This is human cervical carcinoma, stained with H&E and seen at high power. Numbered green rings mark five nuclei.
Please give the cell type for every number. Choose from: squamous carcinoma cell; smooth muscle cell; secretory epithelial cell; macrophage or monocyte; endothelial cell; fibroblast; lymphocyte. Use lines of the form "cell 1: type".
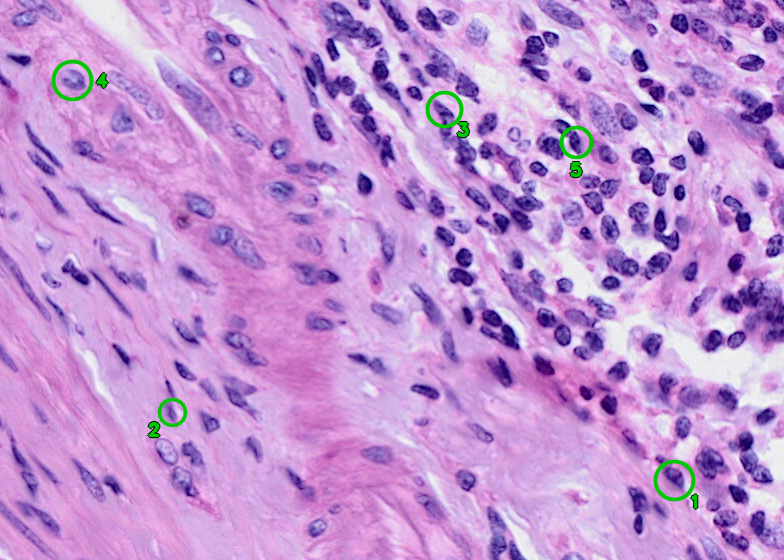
cell 1: lymphocyte
cell 2: fibroblast
cell 3: lymphocyte
cell 4: smooth muscle cell
cell 5: lymphocyte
